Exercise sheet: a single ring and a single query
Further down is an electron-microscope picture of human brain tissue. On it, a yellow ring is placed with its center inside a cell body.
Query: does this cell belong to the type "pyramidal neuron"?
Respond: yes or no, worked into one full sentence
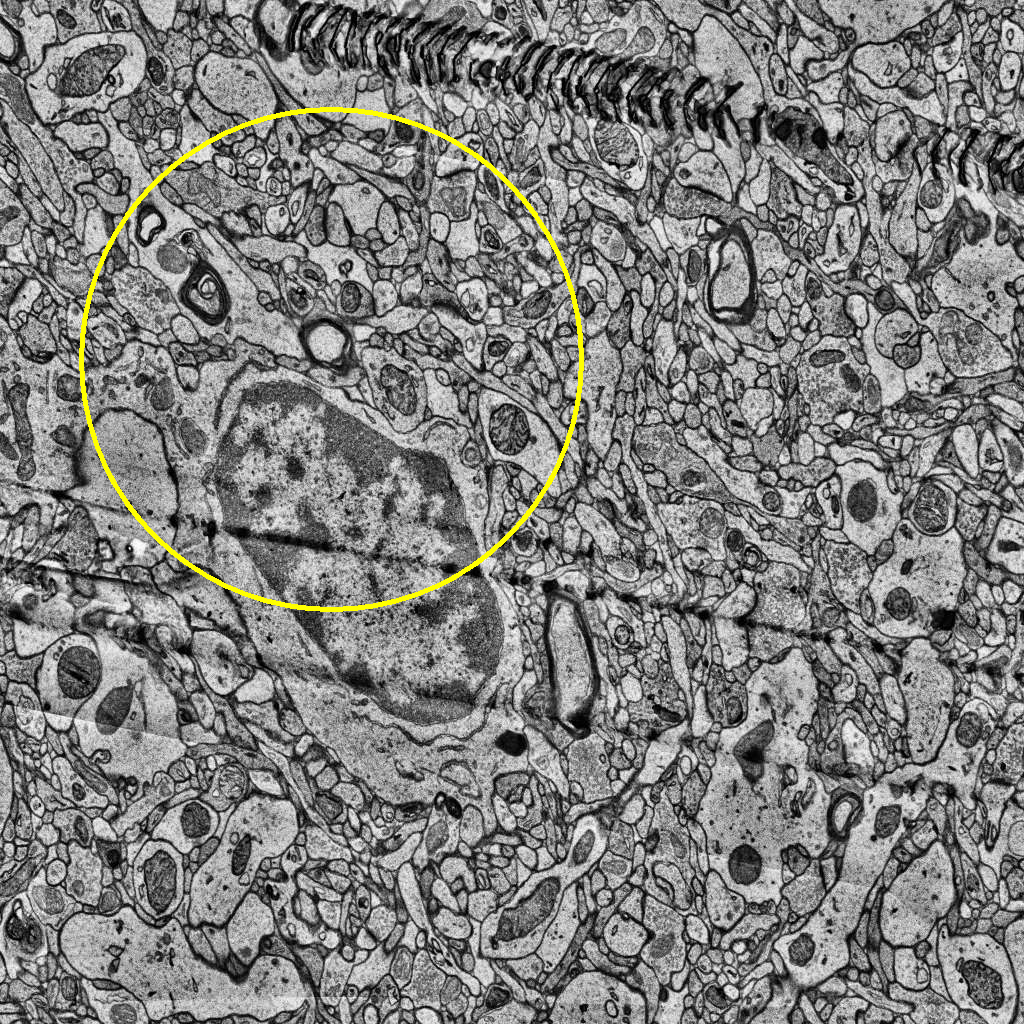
No, this cell, found at the center of the ring in the picture, is of a different type.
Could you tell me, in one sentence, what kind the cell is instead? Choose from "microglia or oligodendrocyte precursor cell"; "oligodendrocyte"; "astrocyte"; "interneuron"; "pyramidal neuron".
The cell marked by the ring is a microglial cell or oligodendrocyte precursor cell.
